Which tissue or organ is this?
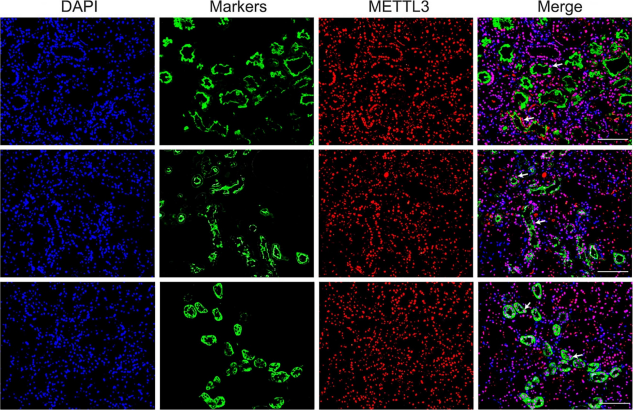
Kidney.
